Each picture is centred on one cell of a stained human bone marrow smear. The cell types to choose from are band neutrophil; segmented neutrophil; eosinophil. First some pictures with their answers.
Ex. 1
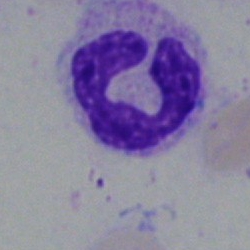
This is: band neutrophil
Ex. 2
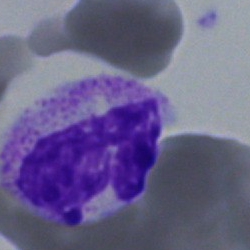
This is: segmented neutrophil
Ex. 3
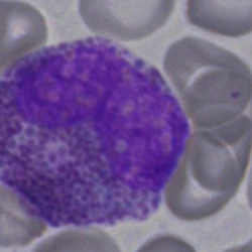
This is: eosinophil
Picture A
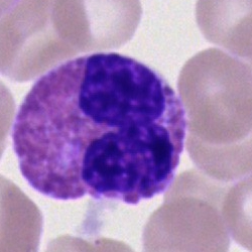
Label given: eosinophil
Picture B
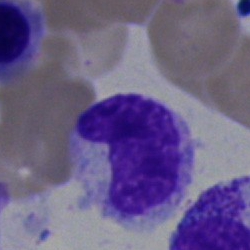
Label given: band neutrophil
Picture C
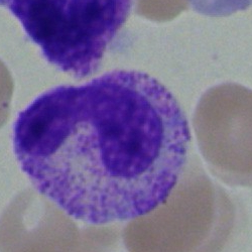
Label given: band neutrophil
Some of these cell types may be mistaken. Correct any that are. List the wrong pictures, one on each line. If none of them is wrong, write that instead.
No label is wrong.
